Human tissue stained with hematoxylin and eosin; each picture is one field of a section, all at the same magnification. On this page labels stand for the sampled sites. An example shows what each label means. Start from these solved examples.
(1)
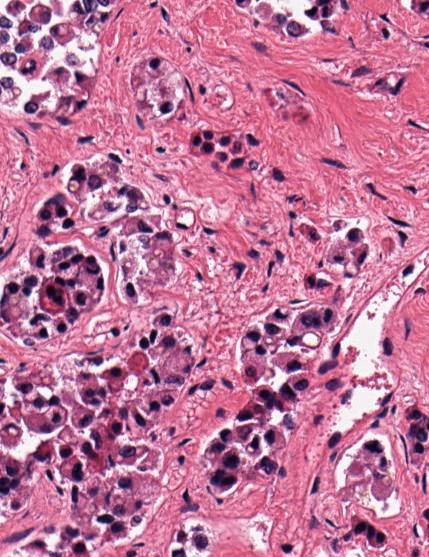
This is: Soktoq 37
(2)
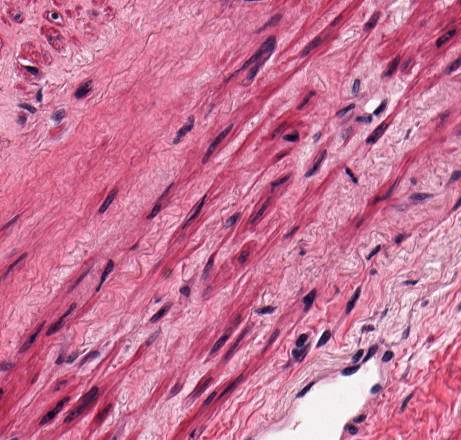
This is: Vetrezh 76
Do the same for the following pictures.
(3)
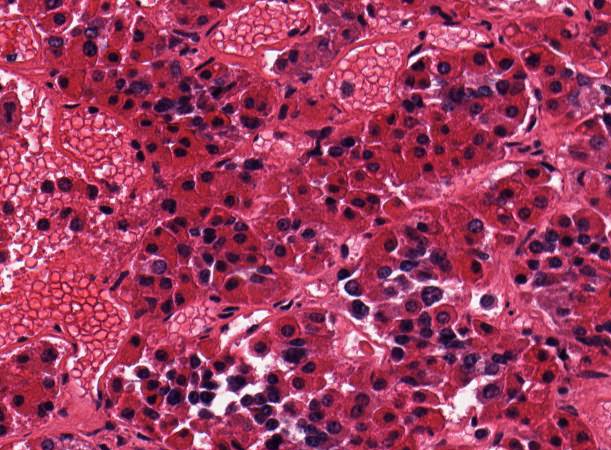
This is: Soktoq 37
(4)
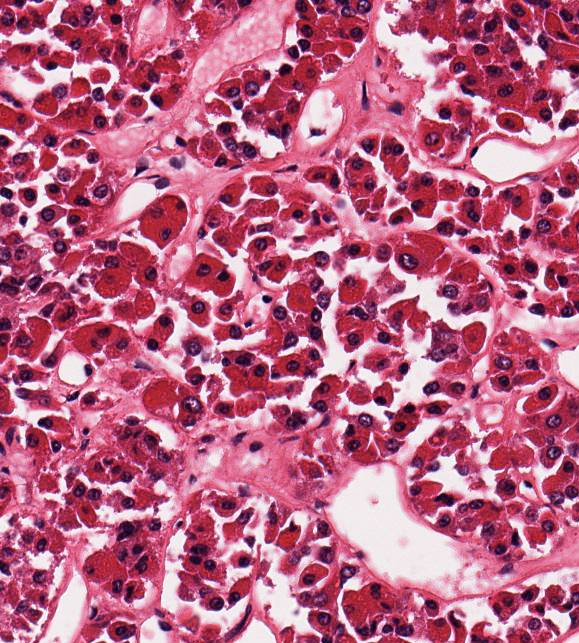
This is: Soktoq 37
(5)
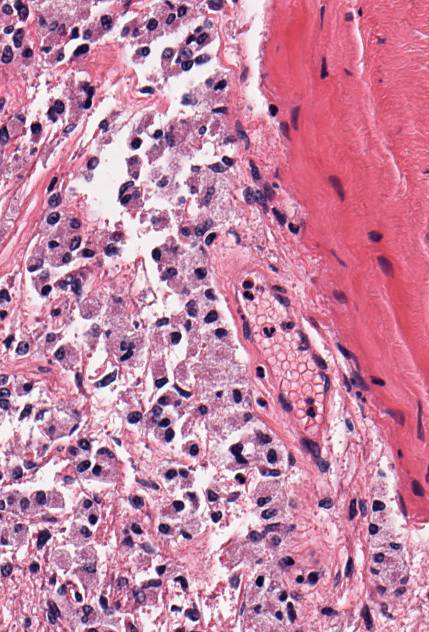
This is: Soktoq 37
